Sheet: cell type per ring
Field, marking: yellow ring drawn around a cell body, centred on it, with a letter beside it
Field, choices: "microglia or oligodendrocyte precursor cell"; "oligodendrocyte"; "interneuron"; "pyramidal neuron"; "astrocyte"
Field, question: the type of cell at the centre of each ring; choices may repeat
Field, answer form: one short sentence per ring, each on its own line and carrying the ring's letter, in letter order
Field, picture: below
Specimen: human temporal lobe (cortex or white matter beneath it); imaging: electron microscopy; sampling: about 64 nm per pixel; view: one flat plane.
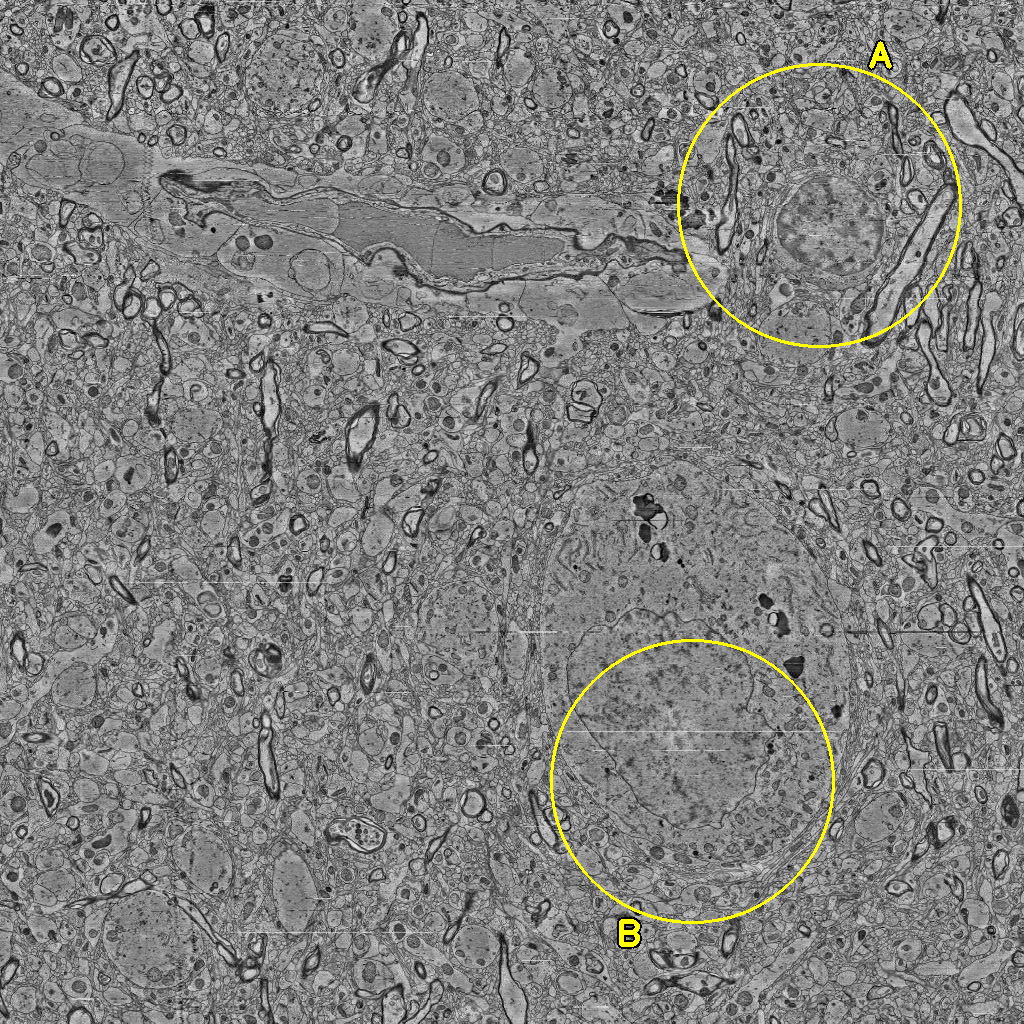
The cell body inside ring A, at its centre, is an oligodendrocyte.
The cell body inside ring B, at its centre, is a pyramidal neuron.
